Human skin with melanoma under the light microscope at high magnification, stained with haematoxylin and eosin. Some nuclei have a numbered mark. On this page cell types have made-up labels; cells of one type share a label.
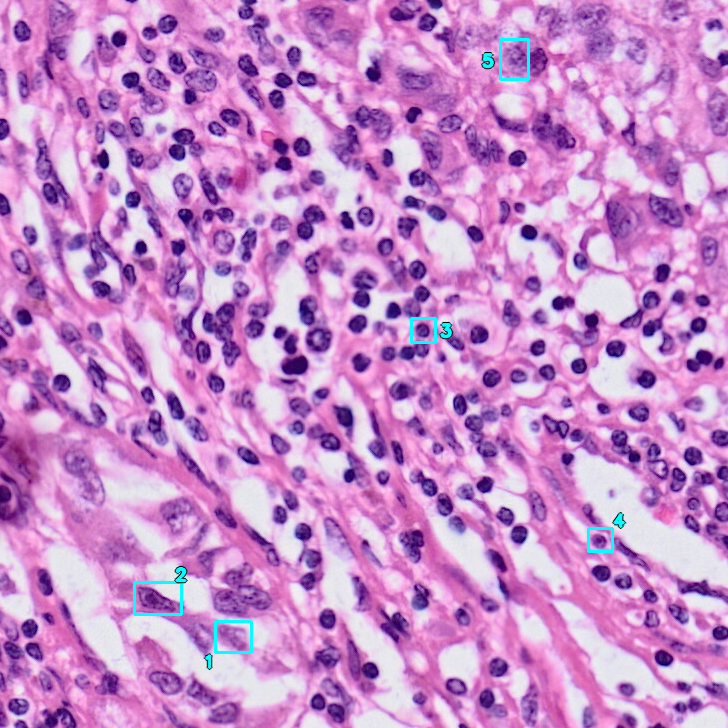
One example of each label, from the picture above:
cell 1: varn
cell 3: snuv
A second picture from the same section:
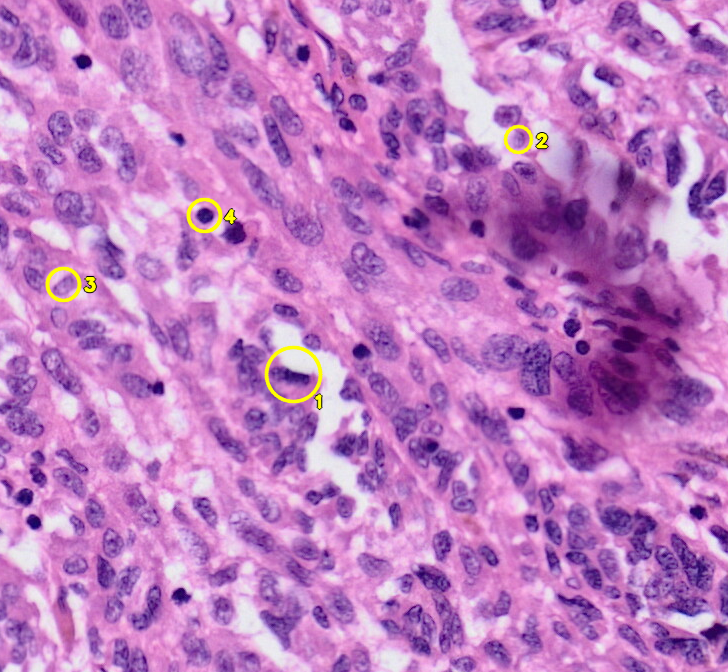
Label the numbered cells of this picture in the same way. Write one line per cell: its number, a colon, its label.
1: varn
2: varn
3: varn
4: snuv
